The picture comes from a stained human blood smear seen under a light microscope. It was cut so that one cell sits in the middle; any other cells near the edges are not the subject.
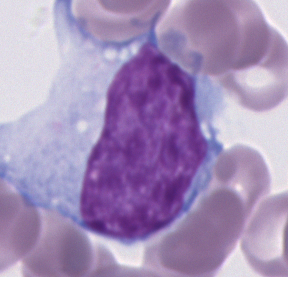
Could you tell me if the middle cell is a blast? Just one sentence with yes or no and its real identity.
Yes, shown in the middle of the crop is a blast.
